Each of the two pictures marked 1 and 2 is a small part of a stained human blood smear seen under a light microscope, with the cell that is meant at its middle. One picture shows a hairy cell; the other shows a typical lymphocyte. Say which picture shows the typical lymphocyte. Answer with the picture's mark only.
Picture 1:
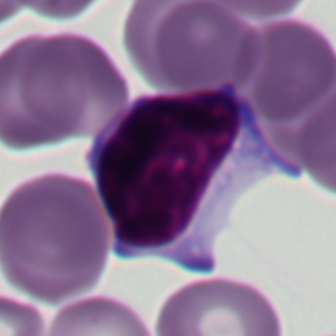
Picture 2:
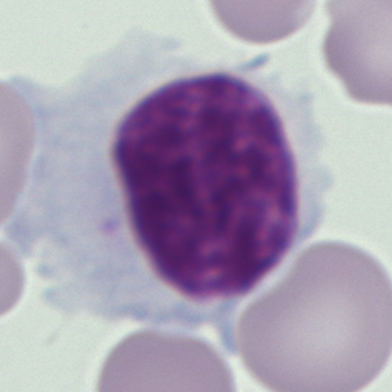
1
